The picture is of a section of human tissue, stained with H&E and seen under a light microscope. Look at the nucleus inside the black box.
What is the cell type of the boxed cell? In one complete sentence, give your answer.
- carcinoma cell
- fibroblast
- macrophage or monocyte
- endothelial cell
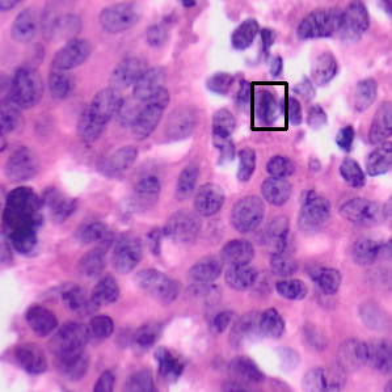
Within the stained tissue, the boxed cell is a carcinoma cell.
